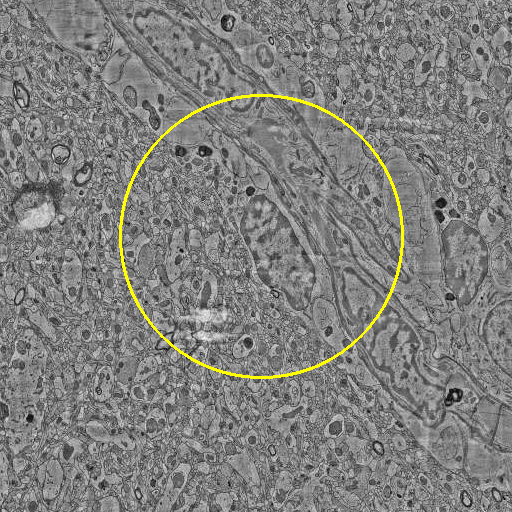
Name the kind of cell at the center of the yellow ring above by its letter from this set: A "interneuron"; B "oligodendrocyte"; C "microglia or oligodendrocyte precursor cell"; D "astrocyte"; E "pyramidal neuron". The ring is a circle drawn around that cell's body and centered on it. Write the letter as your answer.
C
